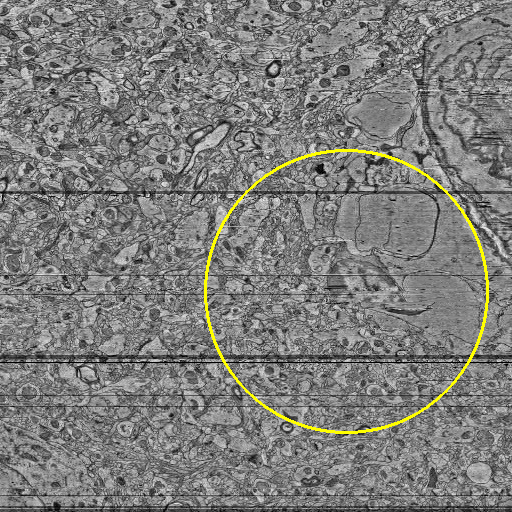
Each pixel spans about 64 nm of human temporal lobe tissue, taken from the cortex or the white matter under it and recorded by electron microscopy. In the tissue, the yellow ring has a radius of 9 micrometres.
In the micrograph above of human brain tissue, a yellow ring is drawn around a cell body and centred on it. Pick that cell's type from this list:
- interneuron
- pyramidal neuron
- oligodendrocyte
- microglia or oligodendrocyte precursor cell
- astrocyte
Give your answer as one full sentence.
Going by the list, an oligodendrocyte is the cell on which the yellow ring is centred.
